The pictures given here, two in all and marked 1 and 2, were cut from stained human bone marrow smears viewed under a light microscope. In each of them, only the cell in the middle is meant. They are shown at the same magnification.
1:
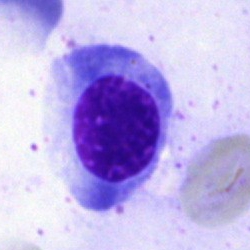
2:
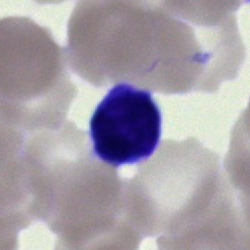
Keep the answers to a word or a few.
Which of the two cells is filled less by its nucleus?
1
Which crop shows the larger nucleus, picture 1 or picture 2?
1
